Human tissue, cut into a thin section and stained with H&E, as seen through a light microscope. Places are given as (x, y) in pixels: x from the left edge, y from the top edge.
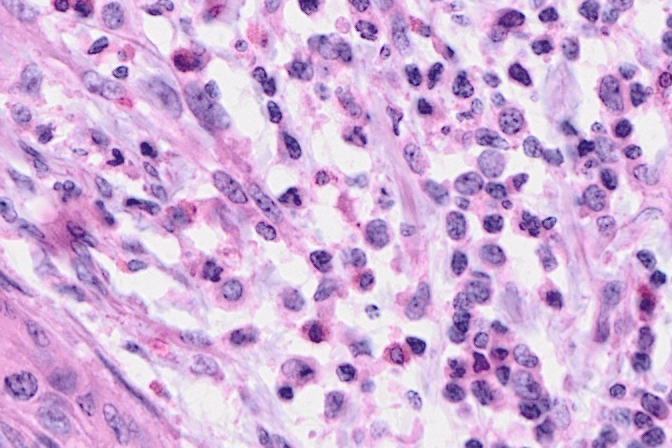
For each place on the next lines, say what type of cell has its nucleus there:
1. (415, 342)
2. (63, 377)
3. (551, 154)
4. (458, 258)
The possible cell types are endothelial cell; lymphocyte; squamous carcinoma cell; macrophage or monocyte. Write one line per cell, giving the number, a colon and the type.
1: lymphocyte
2: squamous carcinoma cell
3: lymphocyte
4: lymphocyte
